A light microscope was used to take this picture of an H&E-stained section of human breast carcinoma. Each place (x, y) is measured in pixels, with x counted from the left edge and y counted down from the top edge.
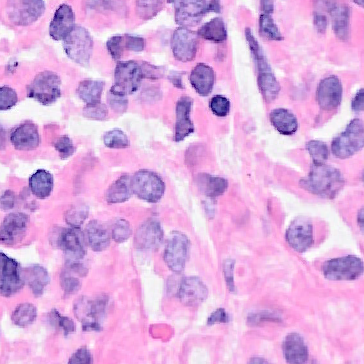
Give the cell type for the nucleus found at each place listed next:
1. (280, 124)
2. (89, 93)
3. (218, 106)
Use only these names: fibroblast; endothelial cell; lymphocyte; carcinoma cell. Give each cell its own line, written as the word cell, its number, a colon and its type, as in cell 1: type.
cell 1: carcinoma cell
cell 2: carcinoma cell
cell 3: lymphocyte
